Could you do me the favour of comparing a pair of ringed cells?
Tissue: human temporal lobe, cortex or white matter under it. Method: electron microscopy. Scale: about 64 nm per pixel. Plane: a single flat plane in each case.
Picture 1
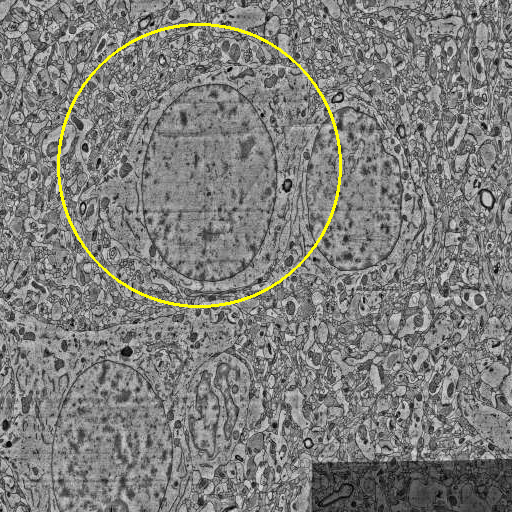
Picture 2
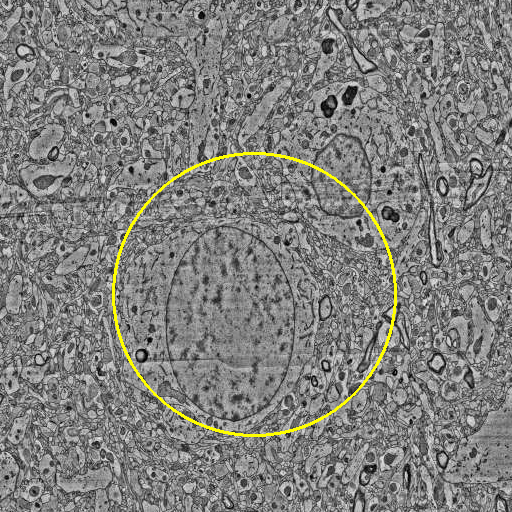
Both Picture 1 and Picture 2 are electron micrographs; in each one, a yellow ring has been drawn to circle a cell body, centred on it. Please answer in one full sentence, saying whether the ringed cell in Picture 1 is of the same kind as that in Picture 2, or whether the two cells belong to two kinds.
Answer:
The ringed cell in Picture 1 is of the same kind as that in Picture 2.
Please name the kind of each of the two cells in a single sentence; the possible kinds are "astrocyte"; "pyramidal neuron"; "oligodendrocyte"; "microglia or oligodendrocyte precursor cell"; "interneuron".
Both rings mark a pyramidal neuron, one in each picture.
